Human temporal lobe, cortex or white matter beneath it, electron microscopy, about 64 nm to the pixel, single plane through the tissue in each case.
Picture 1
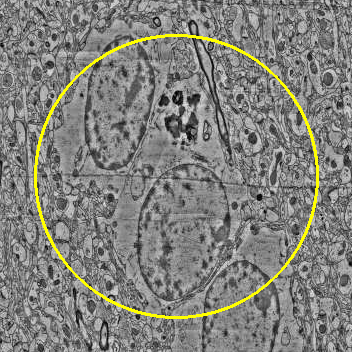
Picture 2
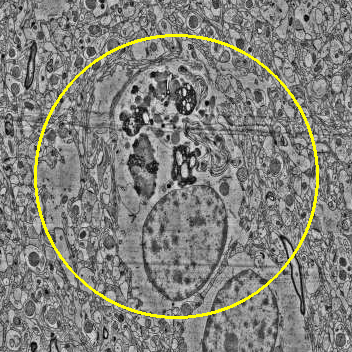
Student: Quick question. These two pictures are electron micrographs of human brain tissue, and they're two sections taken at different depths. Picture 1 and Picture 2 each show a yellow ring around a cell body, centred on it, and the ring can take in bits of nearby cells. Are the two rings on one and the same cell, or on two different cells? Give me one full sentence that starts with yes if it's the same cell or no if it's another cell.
Yes, the same individual cell is enclosed by both rings.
